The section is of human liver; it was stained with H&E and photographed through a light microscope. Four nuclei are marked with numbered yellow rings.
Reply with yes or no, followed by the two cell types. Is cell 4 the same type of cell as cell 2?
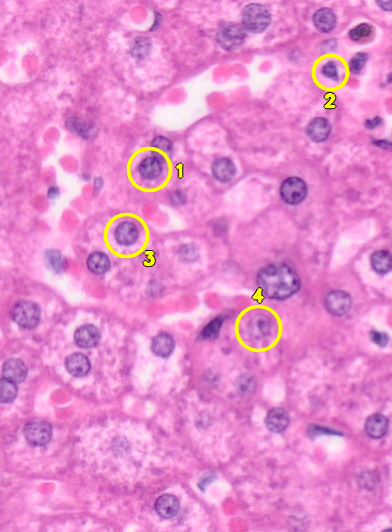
No, the cell at number 4 is a hepatocyte, and the cell at number 2 is a lymphocyte.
